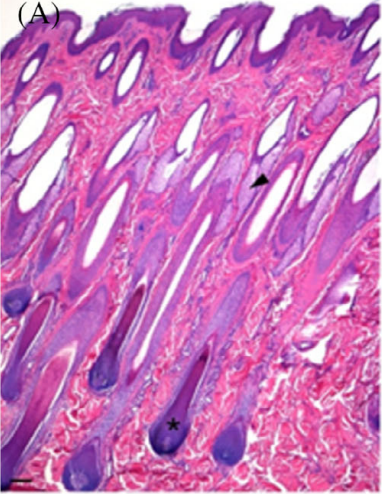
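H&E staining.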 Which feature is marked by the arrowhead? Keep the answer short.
Sebaceous glands.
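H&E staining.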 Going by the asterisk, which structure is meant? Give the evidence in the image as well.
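Hair follicles. The asterisk lies on a dark purple bulb at the lower end of an obliquely running elongated structure. Many parallel such structures run at a slant from the surface into the dermis, several with pale hair shaft spaces.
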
